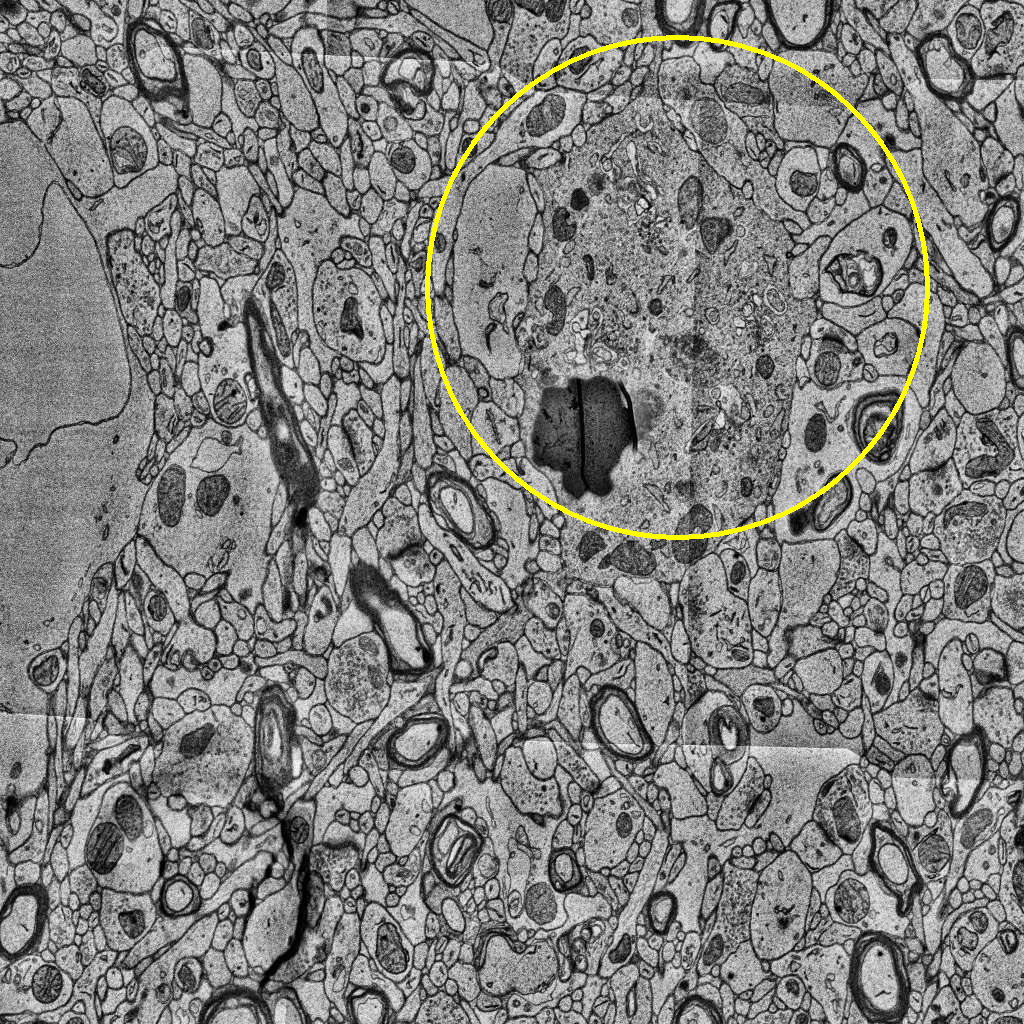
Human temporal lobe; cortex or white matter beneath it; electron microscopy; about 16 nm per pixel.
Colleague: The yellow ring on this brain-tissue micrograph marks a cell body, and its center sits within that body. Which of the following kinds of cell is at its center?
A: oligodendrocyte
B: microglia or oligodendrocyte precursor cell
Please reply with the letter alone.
A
